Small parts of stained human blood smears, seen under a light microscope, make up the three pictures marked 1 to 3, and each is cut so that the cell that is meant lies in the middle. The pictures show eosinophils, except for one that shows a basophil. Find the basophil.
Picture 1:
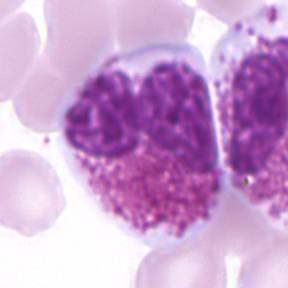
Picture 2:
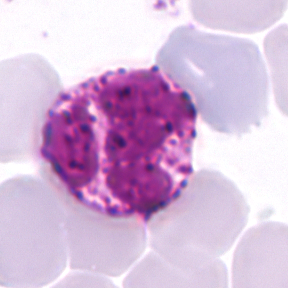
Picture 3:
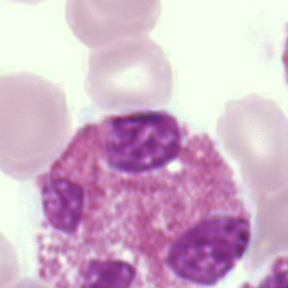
2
